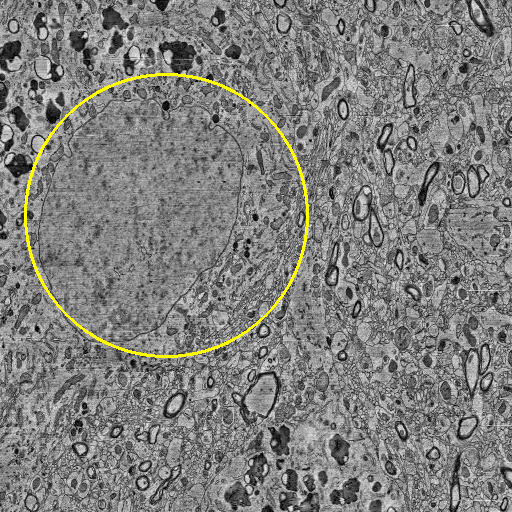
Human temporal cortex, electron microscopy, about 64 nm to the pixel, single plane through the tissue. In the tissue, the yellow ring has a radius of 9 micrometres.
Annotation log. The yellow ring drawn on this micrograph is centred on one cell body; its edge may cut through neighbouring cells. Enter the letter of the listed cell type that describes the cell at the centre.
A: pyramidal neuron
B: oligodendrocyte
A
